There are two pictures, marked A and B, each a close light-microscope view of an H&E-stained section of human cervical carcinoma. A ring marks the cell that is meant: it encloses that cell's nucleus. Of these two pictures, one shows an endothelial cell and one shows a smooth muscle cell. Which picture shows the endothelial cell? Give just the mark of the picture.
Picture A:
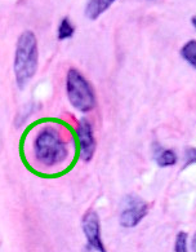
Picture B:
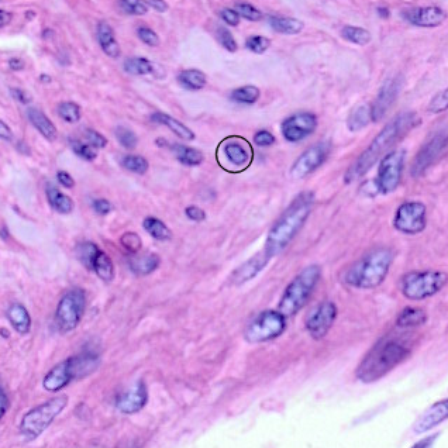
A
